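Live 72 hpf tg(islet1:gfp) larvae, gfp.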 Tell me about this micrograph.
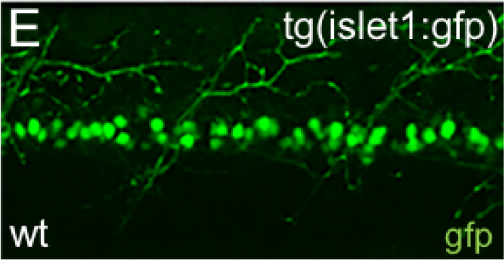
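Neurons appear as a horizontal row of bright green, rounded cell bodies packed side by side. Thin, beaded green axons leave the row and run upward and across the field, branching as they go. The background around the cells is dark.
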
